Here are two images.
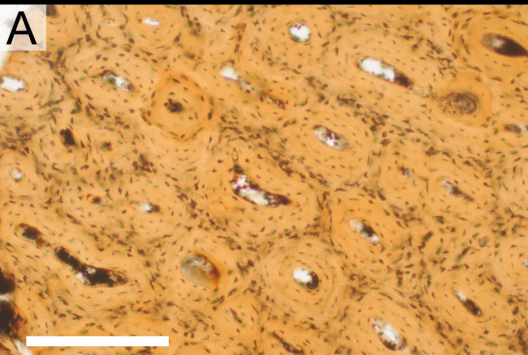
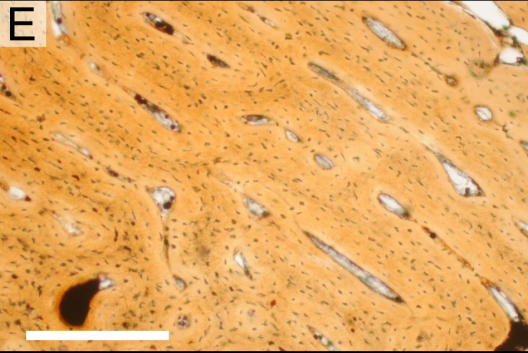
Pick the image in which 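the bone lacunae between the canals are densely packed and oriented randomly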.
the first image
